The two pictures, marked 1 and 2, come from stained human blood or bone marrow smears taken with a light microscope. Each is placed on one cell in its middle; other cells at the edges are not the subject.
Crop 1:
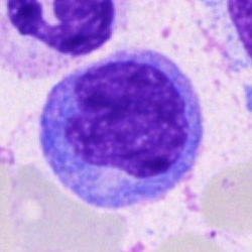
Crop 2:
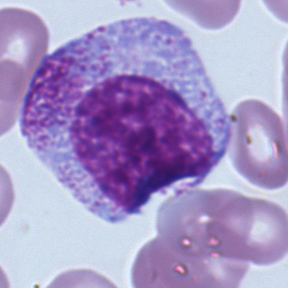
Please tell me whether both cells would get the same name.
no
